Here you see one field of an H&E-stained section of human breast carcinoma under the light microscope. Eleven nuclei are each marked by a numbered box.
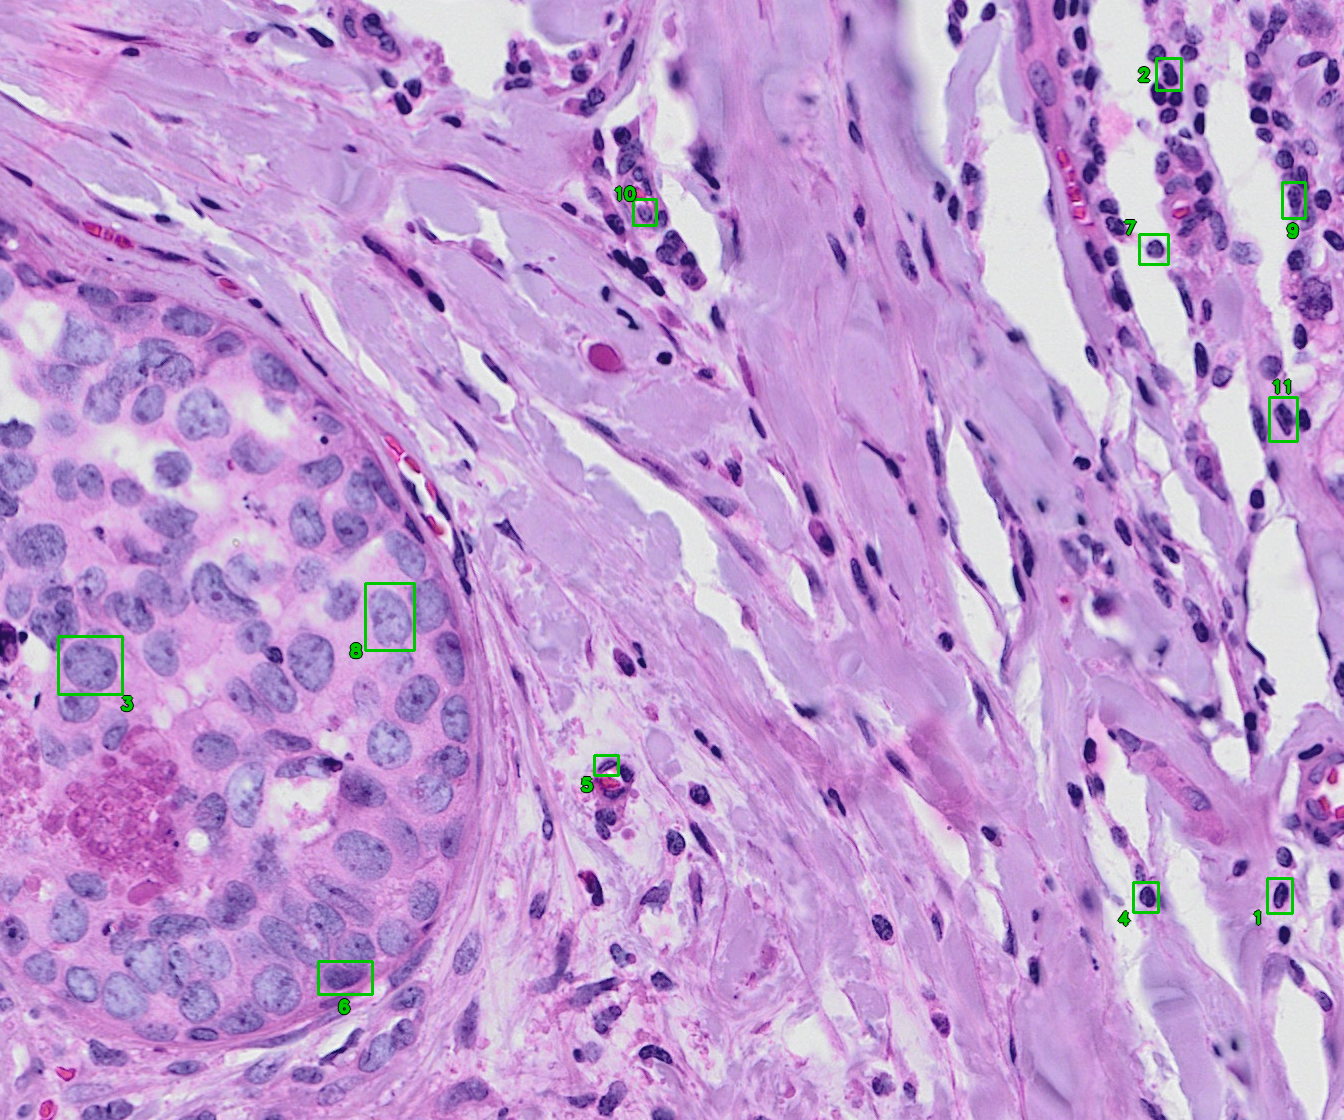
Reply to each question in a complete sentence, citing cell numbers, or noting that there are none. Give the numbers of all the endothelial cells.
The cells that have been numbered 5 and 10 are endothelial cells.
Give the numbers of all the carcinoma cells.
The cells numbered 3, 6 and 8 are identified as carcinoma cells.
